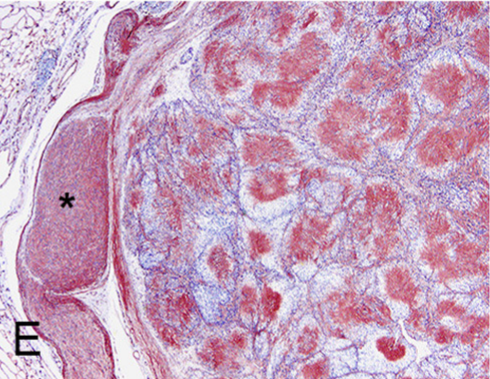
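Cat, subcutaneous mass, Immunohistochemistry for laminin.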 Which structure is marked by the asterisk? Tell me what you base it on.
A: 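Healthy peripheral nerves. The asterisk lies in an oval bundle at the edge, separate from the lobulated mass.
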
